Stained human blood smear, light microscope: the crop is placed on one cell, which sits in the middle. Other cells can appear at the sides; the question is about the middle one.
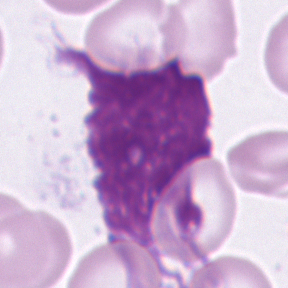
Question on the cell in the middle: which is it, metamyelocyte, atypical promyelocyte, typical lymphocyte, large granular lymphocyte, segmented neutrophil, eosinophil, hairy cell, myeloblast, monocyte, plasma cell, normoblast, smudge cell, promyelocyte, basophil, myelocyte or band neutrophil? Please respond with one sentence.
In the crop, the cell of interest at the centre is a smudge cell.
